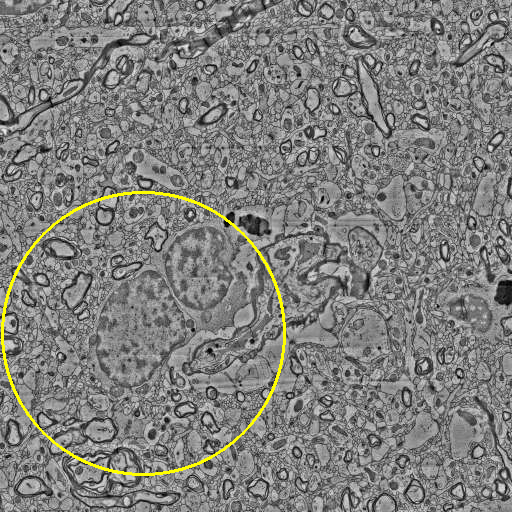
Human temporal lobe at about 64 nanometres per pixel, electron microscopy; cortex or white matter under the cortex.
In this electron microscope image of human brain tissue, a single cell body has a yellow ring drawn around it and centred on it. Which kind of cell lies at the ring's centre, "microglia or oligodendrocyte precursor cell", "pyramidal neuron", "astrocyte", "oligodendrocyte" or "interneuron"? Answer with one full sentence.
It is an oligodendrocyte whose cell body lies at the centre of the yellow ring here.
